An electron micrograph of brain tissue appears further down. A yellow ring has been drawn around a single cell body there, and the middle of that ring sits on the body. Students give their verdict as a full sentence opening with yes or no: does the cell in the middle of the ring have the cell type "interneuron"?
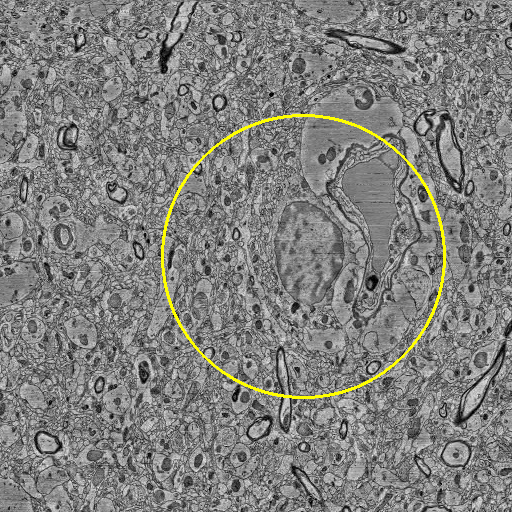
No, in this picture the cell sitting at the middle of the ring has a different cell type.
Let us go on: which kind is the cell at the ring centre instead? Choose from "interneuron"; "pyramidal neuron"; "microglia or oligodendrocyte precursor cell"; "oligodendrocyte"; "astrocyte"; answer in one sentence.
The ringed cell in this picture is, instead, an oligodendrocyte.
